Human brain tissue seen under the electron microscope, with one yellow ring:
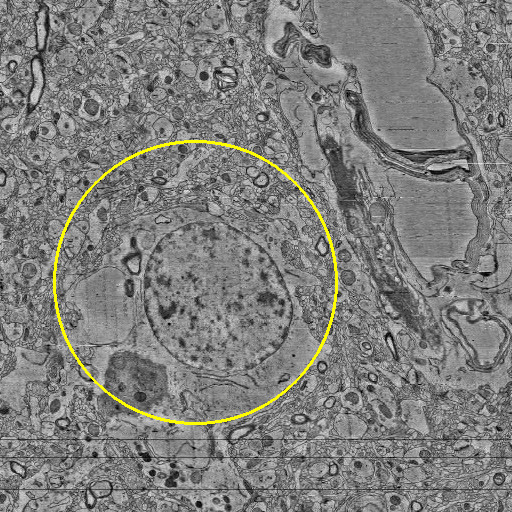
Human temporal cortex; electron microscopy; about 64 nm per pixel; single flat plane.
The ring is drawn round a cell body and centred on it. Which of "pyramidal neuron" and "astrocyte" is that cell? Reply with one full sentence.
The picture shows an astrocyte at the very centre of the yellow ring.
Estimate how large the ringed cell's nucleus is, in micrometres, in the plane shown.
The nucleus of the ringed cell is approximately 10 micrometres across in this plane.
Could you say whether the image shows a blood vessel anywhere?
Yes, the image shows a blood vessel.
